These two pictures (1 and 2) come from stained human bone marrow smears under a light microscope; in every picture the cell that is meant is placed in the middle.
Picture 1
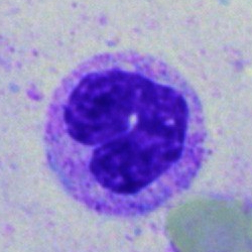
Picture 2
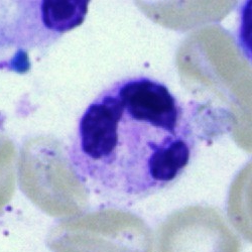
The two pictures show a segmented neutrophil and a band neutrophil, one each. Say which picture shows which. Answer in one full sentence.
Picture 1 shows a band neutrophil and picture 2 shows a segmented neutrophil.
